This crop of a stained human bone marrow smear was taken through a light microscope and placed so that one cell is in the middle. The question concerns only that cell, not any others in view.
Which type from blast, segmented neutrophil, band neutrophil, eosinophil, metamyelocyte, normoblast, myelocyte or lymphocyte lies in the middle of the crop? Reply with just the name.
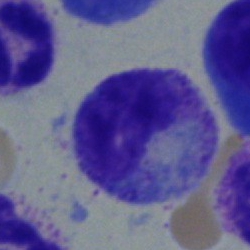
metamyelocyte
